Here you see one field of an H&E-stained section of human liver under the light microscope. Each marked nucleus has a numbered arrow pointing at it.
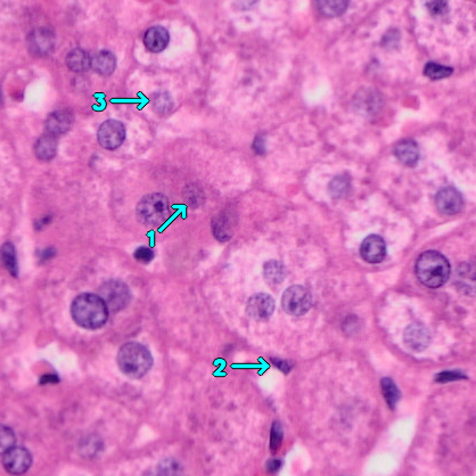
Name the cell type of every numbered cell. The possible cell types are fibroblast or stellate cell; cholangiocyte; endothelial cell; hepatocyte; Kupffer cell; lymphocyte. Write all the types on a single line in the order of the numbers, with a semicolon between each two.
hepatocyte; endothelial cell; hepatocyte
